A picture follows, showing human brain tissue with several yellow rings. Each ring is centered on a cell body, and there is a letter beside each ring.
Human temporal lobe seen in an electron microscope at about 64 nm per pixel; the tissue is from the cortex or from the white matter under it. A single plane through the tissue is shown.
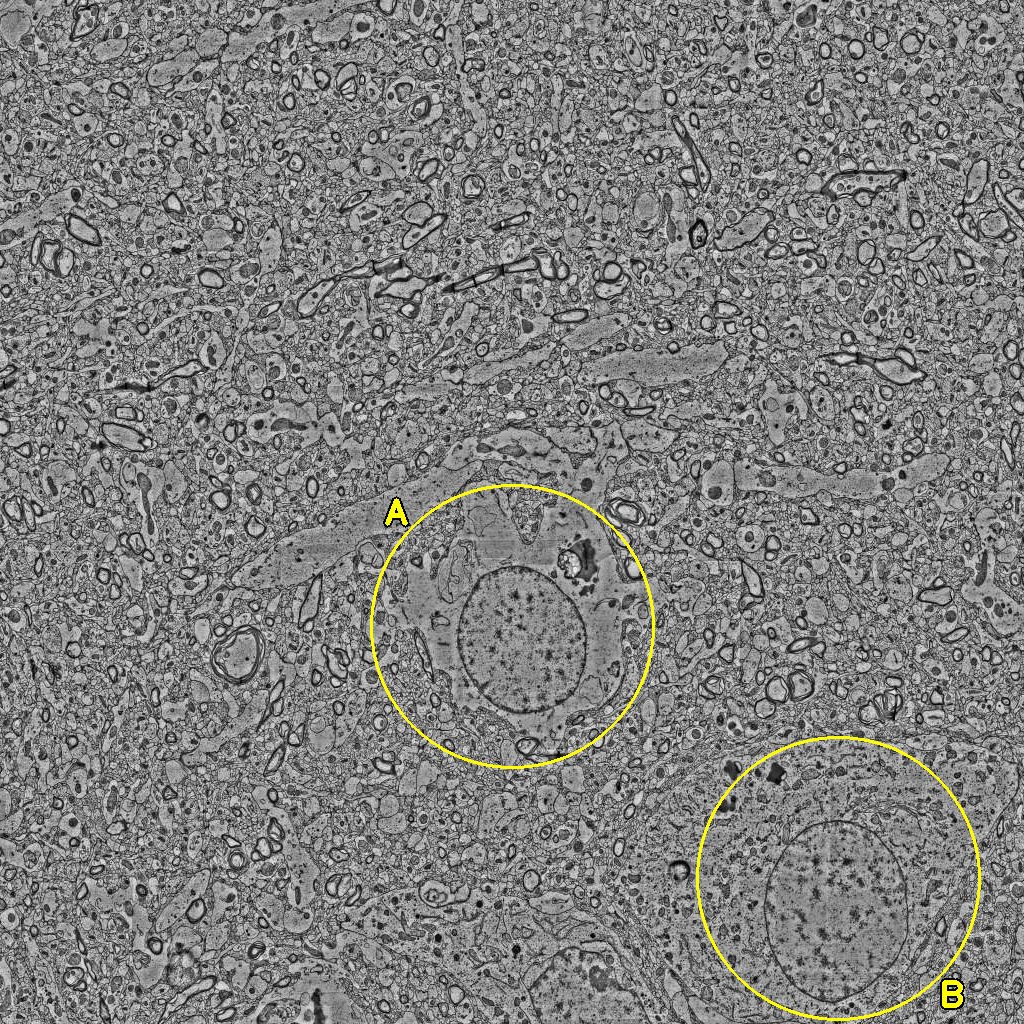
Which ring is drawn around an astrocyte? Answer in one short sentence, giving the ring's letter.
Ring A is drawn around it.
